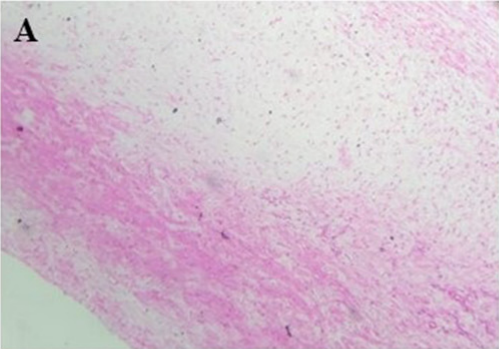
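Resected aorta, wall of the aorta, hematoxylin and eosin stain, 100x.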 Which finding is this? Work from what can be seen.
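Broad pale, loosely textured areas with sparse nuclei. Pale areas alternate with denser pink fibrous bands.
Myxoid change.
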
